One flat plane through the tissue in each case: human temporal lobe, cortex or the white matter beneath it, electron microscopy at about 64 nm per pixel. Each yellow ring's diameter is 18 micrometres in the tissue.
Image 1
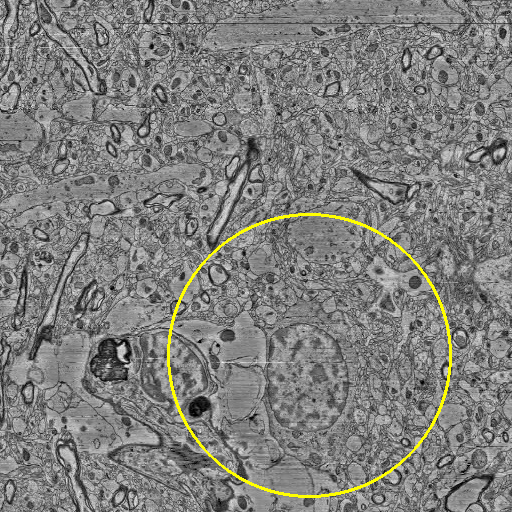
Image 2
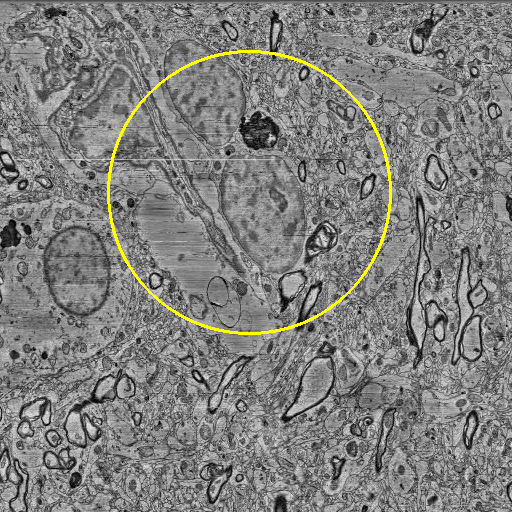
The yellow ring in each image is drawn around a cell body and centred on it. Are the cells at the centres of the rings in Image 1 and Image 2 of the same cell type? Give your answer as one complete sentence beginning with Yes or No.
Yes, both cells are of the same type.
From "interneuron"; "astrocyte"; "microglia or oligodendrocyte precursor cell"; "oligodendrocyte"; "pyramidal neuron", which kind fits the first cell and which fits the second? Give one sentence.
The ring centre holds an oligodendrocyte in each of the two pictures.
